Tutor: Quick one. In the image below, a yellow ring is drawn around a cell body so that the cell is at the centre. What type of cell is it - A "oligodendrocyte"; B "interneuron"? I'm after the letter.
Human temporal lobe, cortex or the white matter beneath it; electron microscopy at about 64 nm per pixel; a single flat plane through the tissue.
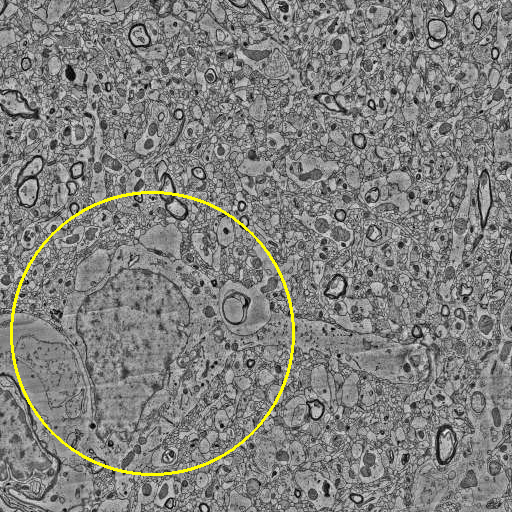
B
